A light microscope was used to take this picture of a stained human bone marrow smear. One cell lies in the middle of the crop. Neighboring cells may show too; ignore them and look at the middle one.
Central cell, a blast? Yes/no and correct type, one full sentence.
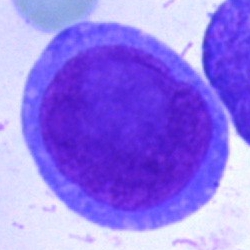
Yes, the cell in the middle of this smear crop is a blast.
